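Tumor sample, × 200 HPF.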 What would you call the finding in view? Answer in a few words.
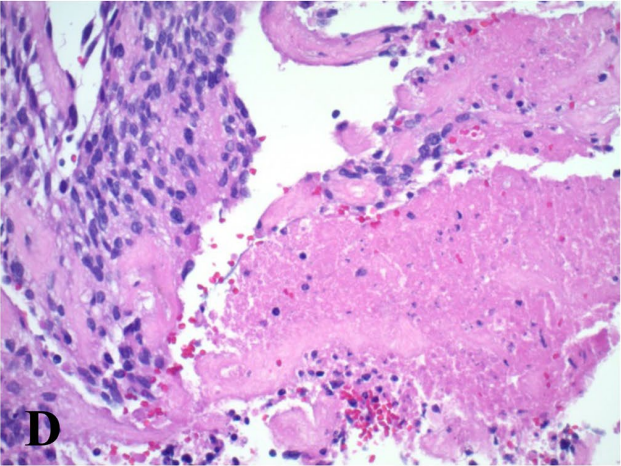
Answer: Necrosis.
